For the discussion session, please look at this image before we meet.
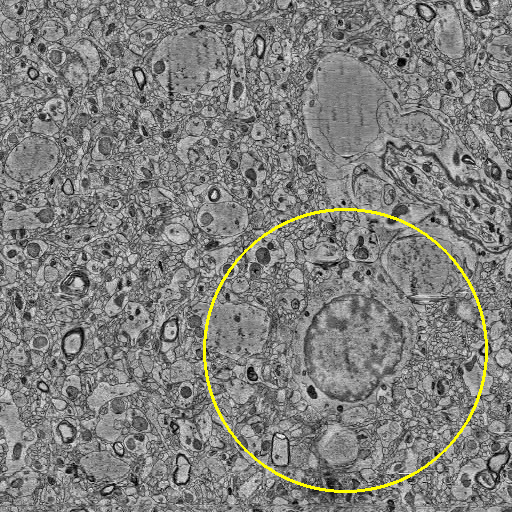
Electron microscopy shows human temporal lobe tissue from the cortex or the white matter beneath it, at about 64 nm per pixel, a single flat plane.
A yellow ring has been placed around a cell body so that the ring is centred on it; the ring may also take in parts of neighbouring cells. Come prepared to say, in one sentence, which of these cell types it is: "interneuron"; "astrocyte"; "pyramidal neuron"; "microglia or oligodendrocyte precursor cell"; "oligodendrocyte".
The cell centred in the ring is an oligodendrocyte.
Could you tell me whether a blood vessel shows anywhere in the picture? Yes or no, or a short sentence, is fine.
Yes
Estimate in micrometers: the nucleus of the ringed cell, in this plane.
Approximately 7 by 6 micrometers in this plane.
